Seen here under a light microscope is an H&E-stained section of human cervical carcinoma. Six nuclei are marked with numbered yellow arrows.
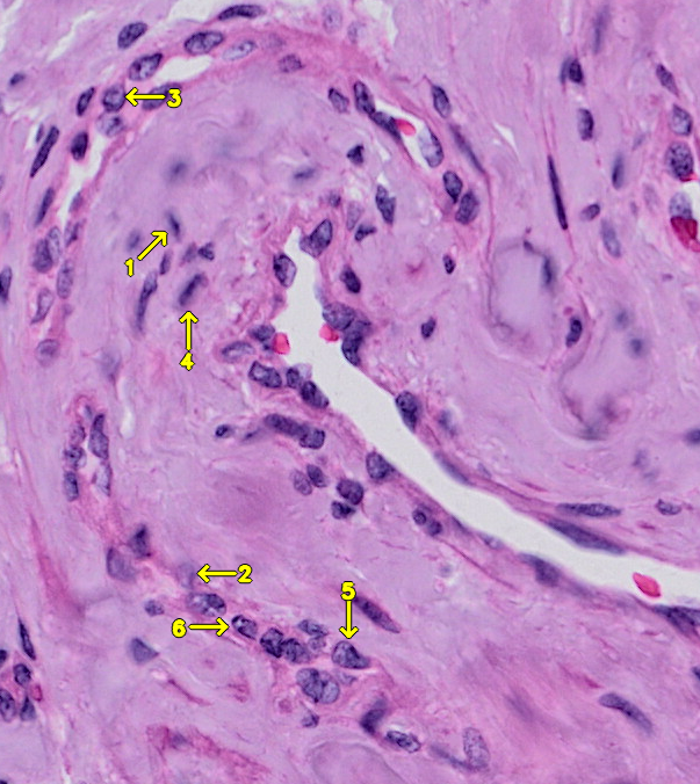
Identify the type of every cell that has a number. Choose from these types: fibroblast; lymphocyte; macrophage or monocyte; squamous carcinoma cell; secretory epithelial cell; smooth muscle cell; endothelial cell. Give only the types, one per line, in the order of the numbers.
fibroblast
endothelial cell
endothelial cell
fibroblast
endothelial cell
endothelial cell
